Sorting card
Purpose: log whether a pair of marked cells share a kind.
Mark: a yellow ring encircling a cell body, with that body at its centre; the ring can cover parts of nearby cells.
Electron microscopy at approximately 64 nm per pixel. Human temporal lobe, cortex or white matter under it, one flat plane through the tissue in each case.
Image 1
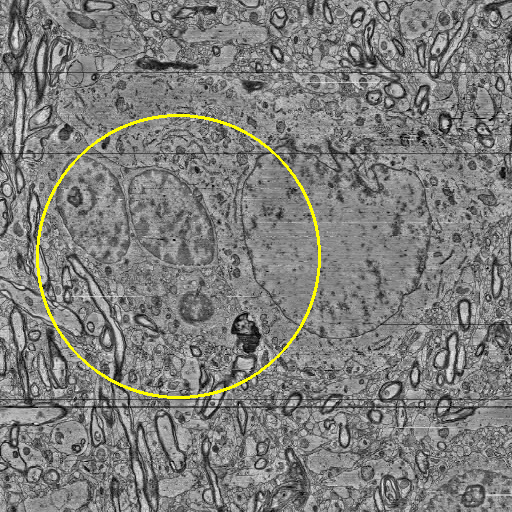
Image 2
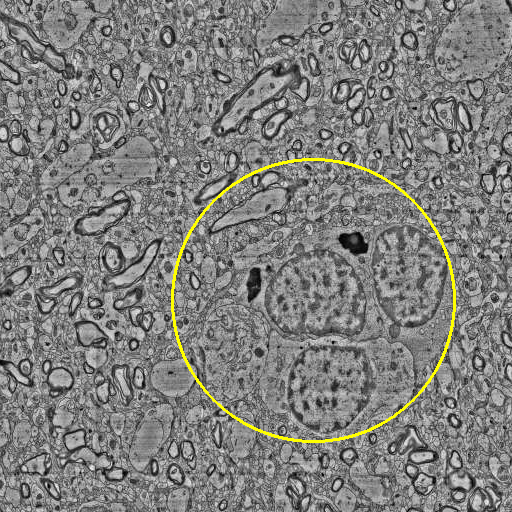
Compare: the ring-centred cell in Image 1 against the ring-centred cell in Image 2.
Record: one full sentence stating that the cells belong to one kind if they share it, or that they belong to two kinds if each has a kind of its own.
Across Images 1 and 2, the two ring-centred cells belong to one kind.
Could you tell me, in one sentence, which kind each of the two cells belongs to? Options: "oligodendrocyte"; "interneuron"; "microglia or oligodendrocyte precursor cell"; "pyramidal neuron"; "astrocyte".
The second cell is an oligodendrocyte, just as the first is.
